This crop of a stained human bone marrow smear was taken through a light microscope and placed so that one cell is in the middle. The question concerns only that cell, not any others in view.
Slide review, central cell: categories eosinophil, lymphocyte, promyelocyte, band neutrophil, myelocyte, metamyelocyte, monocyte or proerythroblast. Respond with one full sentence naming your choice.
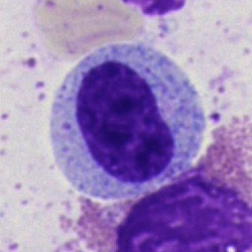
This crop has a myelocyte at its centre.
